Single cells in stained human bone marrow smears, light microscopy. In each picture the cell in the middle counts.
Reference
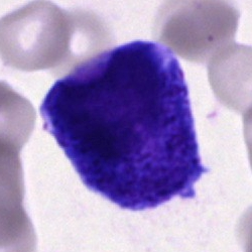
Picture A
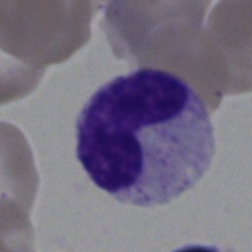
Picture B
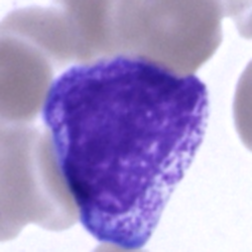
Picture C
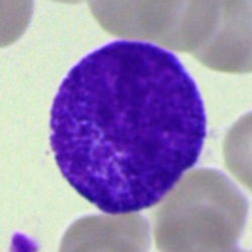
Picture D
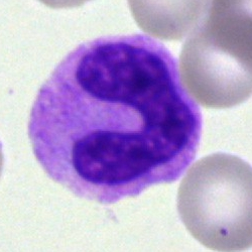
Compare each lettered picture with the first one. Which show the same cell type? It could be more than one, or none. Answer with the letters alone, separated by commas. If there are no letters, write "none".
B, C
